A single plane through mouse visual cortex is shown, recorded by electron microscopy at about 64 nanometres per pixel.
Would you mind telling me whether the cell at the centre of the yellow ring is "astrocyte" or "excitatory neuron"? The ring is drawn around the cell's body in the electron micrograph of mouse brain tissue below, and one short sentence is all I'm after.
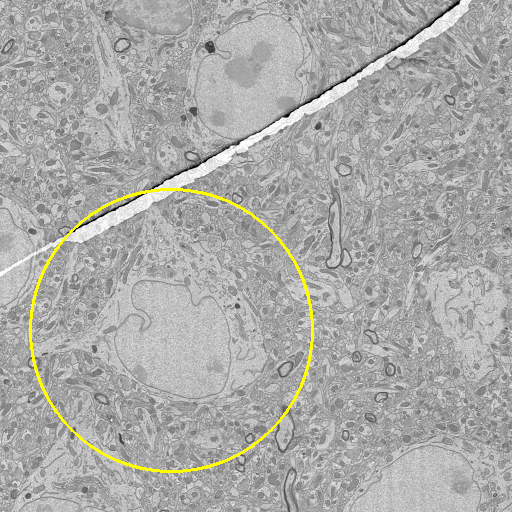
In the centre of the ring lies an excitatory neuron.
